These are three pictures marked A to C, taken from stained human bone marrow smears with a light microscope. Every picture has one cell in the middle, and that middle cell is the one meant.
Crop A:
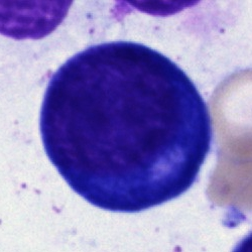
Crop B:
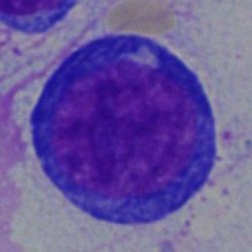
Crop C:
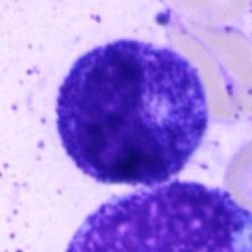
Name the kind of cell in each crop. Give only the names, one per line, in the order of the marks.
proerythroblast
proerythroblast
promyelocyte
